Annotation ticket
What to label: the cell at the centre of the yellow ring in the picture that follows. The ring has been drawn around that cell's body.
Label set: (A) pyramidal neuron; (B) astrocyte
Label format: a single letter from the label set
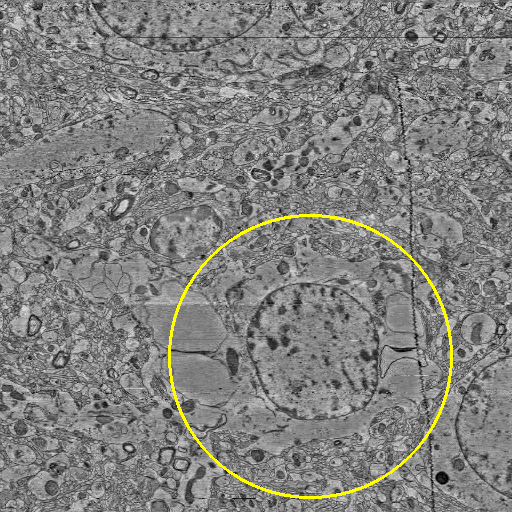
B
